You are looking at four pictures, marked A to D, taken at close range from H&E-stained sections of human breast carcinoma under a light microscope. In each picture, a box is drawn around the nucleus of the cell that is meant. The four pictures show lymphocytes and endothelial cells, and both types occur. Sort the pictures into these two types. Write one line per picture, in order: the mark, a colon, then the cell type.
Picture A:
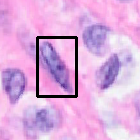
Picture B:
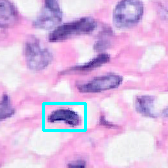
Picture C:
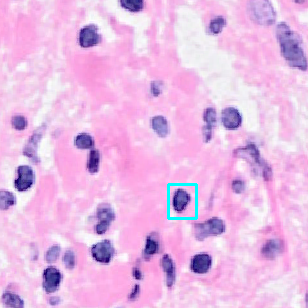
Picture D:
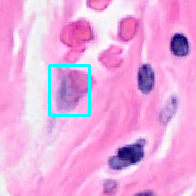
A: endothelial cell
B: lymphocyte
C: lymphocyte
D: endothelial cell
